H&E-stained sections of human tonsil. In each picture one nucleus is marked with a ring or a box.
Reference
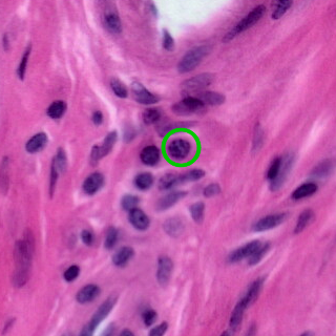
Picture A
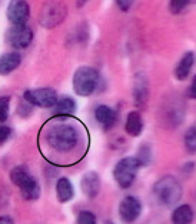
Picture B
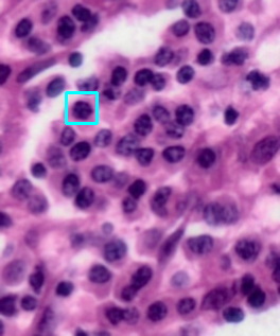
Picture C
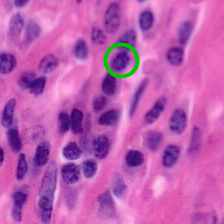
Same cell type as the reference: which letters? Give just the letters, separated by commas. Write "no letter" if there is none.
A, B, C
